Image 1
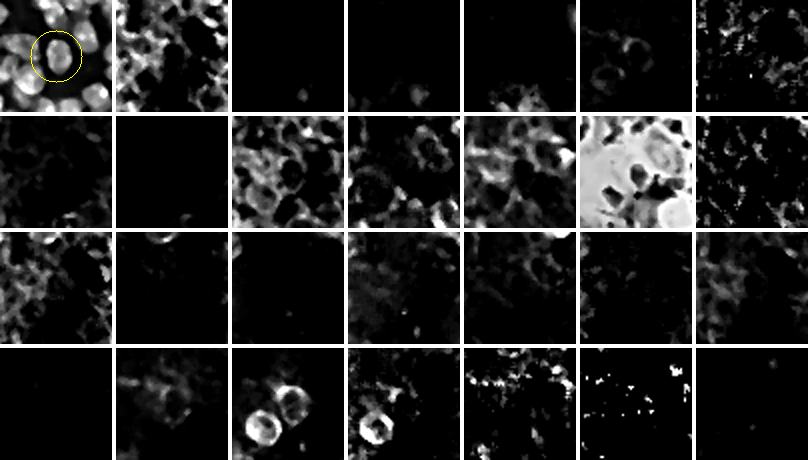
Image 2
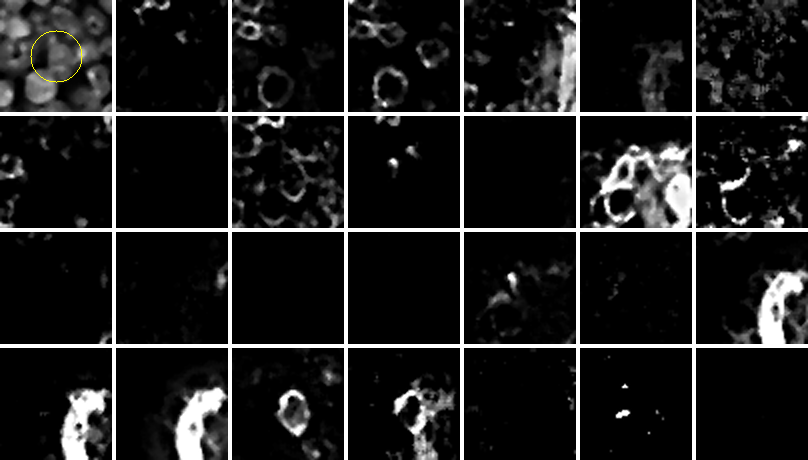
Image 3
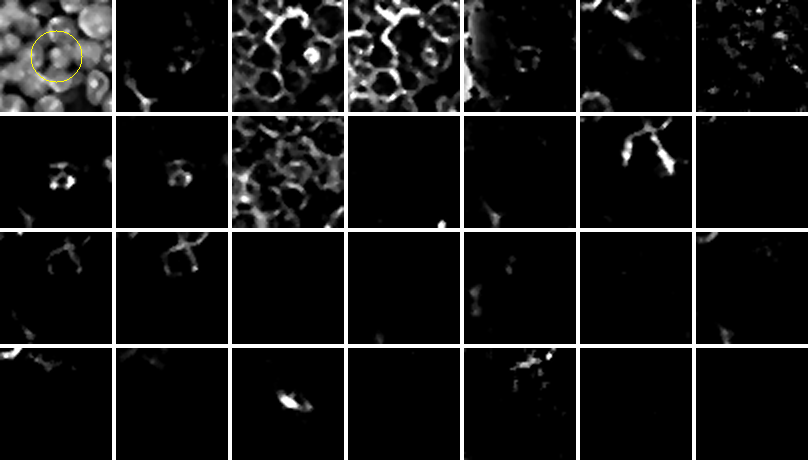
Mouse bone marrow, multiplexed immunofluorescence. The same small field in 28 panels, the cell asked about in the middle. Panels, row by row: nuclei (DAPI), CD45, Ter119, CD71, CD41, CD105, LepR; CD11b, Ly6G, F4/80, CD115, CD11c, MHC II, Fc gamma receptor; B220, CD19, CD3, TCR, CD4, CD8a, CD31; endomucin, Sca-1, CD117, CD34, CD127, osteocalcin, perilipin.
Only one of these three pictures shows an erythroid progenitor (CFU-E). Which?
Picture 3.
